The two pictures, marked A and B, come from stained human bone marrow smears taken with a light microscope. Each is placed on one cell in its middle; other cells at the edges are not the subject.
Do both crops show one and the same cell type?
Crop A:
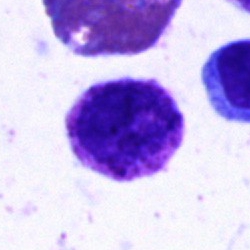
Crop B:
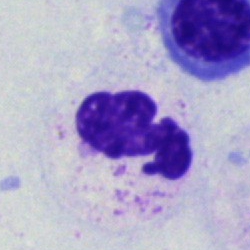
no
